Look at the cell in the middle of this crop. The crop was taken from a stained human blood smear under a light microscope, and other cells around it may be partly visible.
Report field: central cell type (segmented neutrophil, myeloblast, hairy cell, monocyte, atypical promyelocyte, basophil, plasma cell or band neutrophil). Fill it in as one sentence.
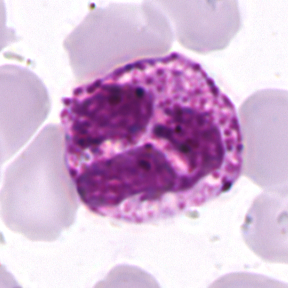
The cell marked by its central position in the crop is a basophil.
